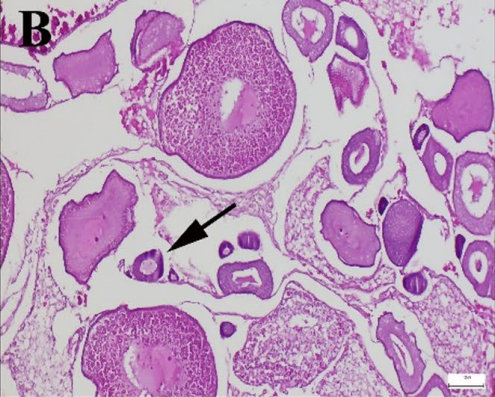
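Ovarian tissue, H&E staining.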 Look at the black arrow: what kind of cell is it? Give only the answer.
Immature oocytes.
